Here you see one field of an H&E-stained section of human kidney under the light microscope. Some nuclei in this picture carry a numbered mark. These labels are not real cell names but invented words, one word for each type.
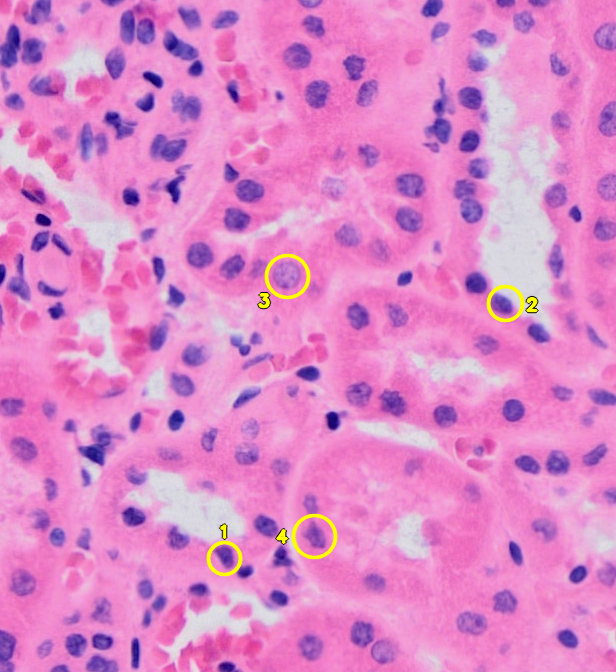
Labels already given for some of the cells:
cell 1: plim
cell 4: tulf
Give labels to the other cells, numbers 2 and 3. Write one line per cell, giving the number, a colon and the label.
2: plim
3: tulf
